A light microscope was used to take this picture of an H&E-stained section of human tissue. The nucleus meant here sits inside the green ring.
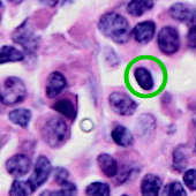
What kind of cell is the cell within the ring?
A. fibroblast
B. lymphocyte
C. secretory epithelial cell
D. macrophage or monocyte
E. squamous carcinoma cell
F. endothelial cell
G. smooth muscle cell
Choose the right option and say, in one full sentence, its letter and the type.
Option B is the correct one: the cell within the ring is a lymphocyte.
